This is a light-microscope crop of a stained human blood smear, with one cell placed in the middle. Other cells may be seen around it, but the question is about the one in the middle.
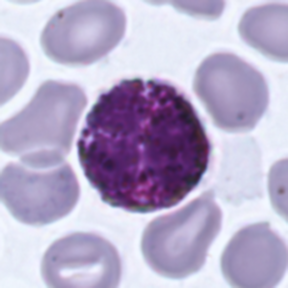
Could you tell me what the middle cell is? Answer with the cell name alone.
basophil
